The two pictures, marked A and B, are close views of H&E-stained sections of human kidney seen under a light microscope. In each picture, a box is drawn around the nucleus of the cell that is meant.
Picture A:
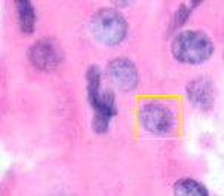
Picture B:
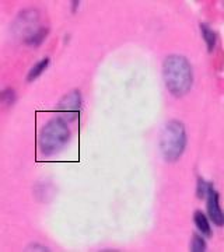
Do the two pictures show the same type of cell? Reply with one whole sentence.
Yes, the two pictures both show “loop of Henle or distal tubule cells”.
